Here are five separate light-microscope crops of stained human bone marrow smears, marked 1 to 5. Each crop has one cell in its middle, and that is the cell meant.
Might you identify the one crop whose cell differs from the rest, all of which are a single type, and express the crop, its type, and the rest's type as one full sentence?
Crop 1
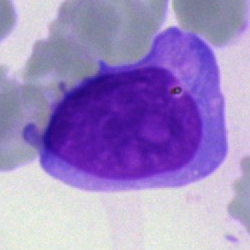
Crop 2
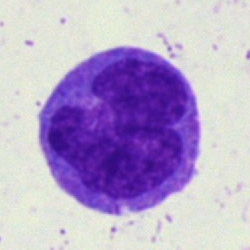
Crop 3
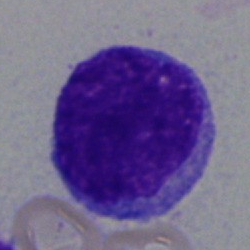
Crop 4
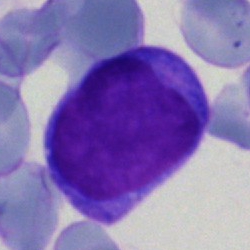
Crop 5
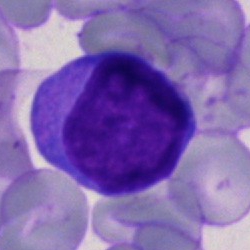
Of these crops, only crop 2 is a monocyte; the others are blasts.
